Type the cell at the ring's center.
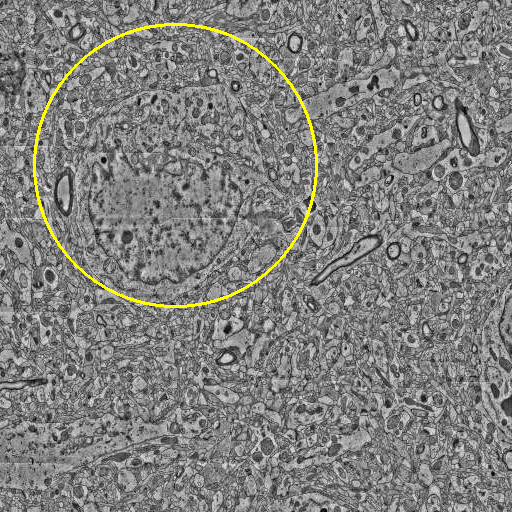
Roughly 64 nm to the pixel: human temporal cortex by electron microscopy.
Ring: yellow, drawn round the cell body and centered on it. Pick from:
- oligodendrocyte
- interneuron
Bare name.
interneuron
